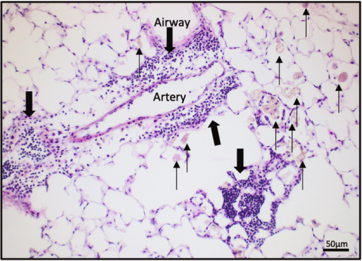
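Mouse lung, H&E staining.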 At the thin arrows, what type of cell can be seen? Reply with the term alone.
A: pigmented alveolar macrophages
